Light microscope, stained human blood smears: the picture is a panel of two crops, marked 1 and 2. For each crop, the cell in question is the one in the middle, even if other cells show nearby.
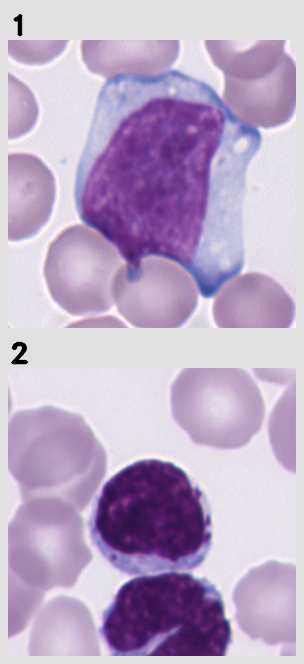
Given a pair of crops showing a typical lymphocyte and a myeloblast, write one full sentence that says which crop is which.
Crop 1 is a myeloblast; crop 2, on the other hand, is a typical lymphocyte.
